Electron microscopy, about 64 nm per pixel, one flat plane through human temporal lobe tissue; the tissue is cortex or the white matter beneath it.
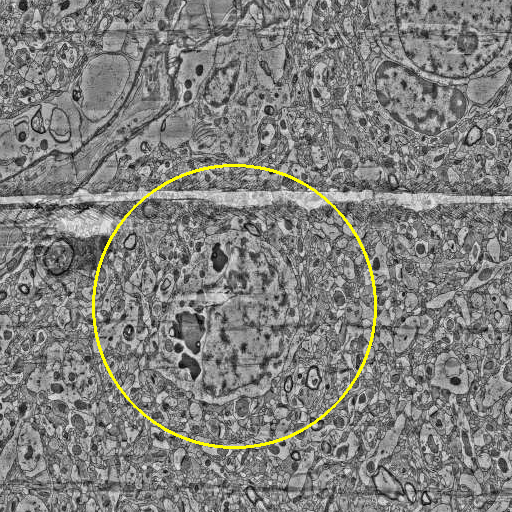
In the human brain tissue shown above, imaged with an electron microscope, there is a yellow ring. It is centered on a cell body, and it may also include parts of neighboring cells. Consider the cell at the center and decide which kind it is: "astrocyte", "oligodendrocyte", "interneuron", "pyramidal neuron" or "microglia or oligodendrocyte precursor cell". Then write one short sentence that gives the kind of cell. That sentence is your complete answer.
This centered cell body is that of an interneuron.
